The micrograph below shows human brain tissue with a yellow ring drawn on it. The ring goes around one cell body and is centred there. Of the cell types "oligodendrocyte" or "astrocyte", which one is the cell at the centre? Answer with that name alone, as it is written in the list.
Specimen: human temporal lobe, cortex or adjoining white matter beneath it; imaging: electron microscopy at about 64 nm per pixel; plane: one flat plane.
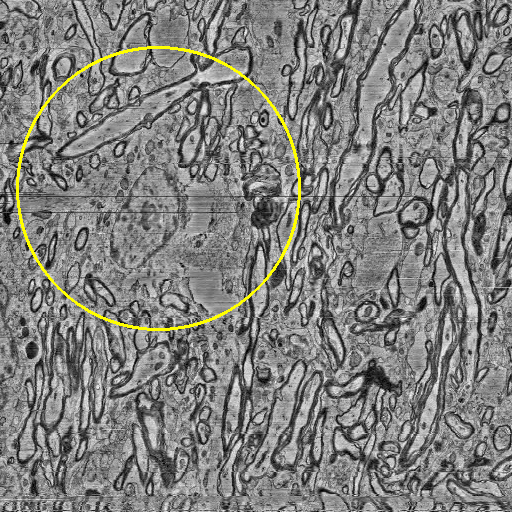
astrocyte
